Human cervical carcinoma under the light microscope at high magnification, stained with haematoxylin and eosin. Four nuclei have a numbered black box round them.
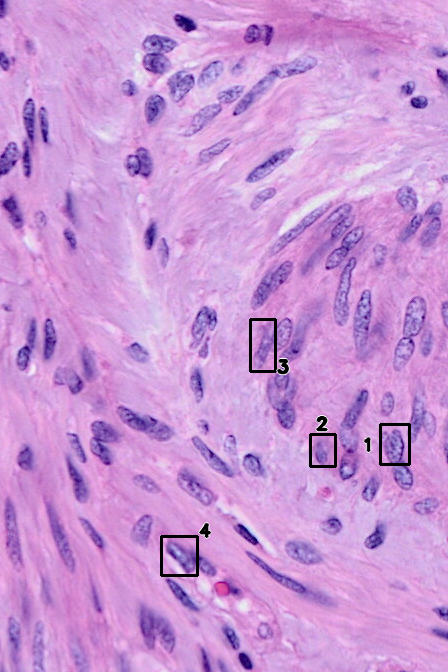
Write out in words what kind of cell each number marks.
Cells 1, 2 and 3 are smooth muscle cells. Cell 4 is an endothelial cell.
